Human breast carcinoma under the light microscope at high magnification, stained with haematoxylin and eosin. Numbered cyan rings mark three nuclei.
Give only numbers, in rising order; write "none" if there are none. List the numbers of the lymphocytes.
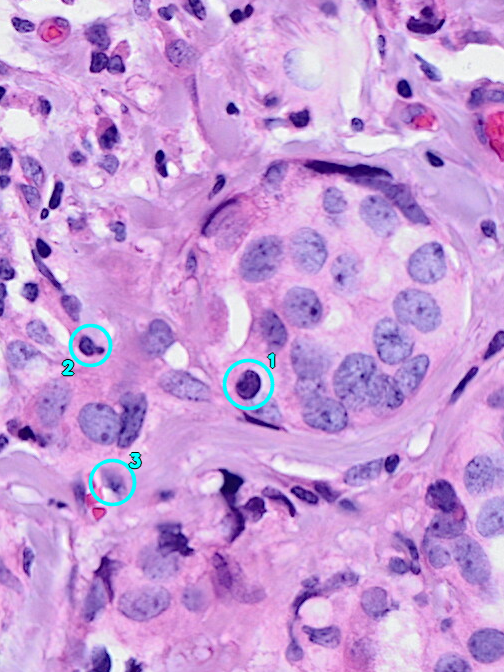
2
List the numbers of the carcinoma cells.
1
